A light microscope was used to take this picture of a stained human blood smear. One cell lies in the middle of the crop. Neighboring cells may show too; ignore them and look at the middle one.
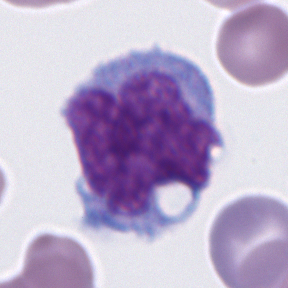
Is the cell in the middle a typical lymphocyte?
no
